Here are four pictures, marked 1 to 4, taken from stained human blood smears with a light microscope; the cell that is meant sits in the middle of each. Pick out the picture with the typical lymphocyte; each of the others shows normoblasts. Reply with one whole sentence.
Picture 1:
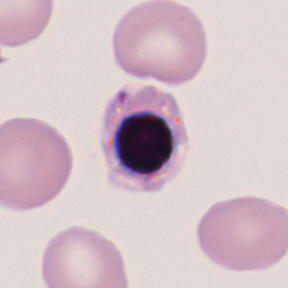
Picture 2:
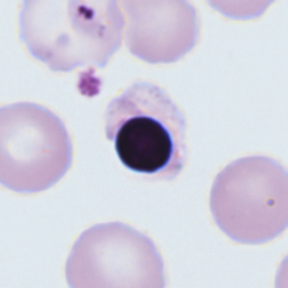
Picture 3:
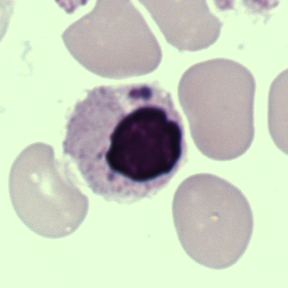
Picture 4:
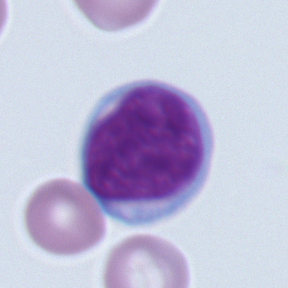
The typical lymphocyte is the one in picture 4.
